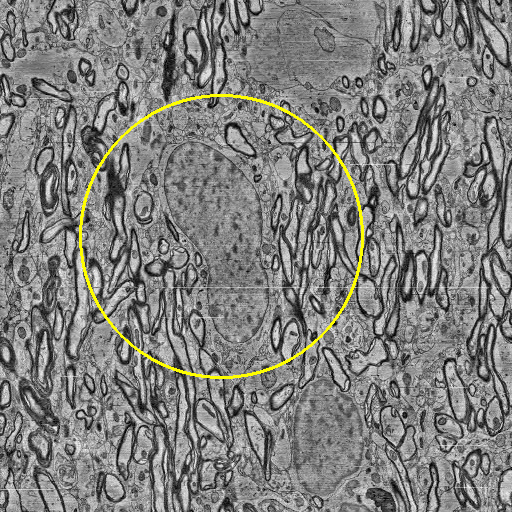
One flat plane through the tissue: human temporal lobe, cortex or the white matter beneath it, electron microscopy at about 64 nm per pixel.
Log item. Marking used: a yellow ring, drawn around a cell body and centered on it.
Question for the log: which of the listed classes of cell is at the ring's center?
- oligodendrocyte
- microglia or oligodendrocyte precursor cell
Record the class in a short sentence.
At the center of the ring lies a microglial cell or oligodendrocyte precursor cell.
